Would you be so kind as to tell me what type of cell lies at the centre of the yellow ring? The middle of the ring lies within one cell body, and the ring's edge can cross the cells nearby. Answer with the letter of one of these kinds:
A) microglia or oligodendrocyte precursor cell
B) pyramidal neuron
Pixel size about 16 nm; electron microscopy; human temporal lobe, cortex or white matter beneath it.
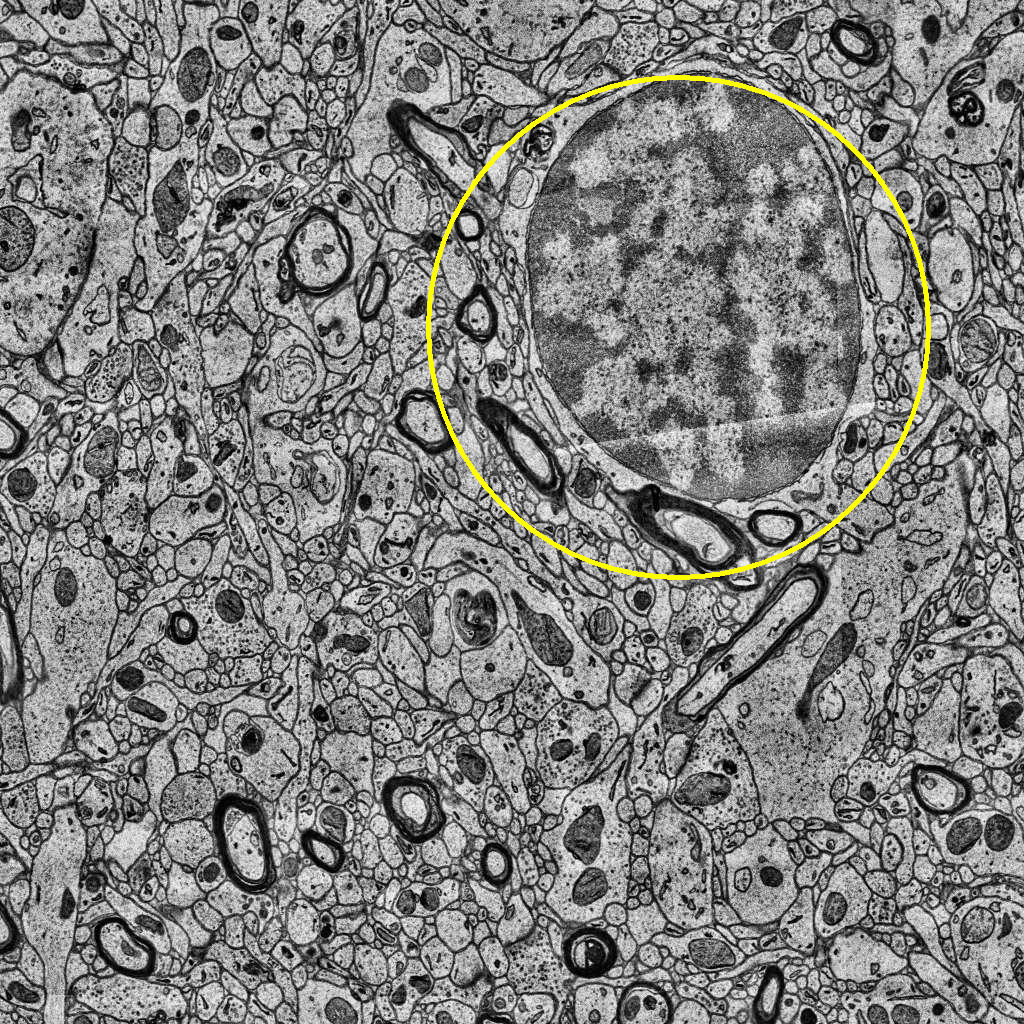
A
